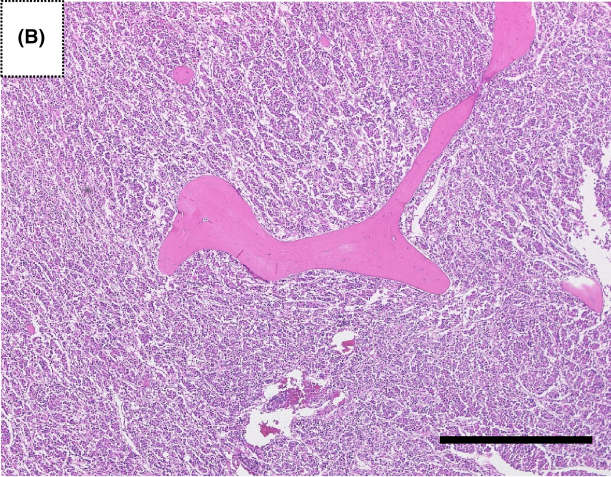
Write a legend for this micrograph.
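A branching trabecula of bone stains a smooth, even pink and crosses the field. Around it, densely packed purple cells form sheets and vague cords with narrow clefts between them. The normal mixed pattern of fat cells and blood-forming cells is not seen. A few small vessels containing red cells lie within the tumour.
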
